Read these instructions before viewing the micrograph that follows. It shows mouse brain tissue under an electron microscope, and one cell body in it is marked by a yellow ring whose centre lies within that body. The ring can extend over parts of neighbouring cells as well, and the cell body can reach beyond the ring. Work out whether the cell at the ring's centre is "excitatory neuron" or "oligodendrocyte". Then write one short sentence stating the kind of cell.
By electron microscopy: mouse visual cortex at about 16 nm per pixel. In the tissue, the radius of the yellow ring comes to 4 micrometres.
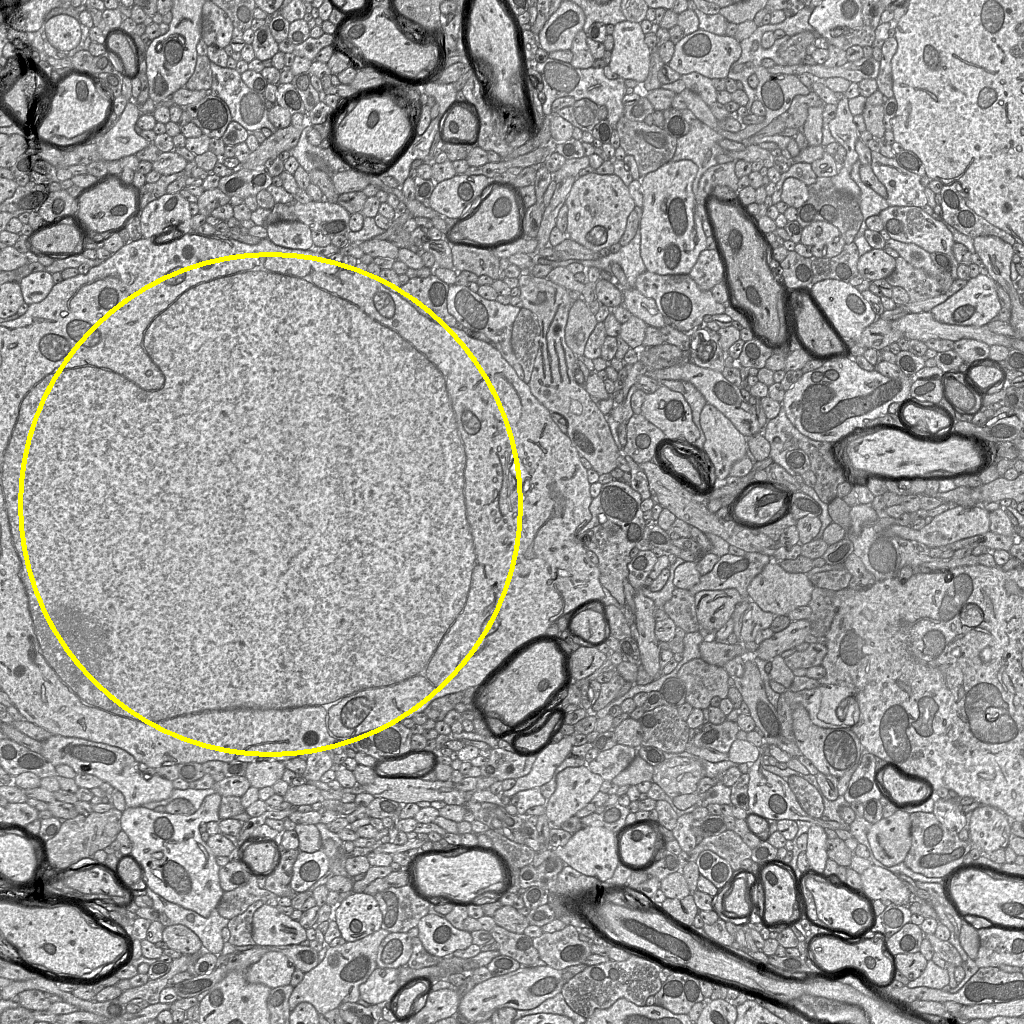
The cell at the ring's centre is an excitatory neuron.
